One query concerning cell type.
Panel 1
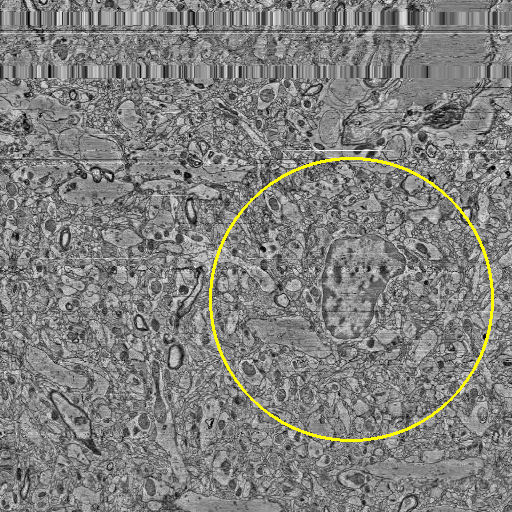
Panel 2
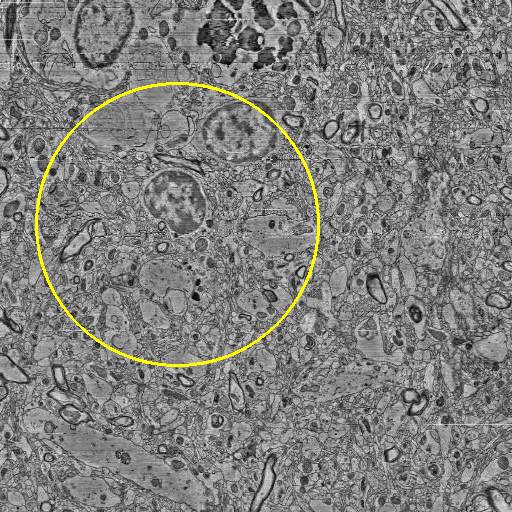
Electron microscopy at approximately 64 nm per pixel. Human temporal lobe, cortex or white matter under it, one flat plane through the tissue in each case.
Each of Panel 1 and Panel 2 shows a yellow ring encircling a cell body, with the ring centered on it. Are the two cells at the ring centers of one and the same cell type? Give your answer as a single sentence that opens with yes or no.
Yes, the cell centered in Panel 1 and the one in Panel 2 share a type.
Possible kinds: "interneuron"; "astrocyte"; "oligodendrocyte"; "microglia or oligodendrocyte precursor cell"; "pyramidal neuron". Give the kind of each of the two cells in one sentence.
Each of the two cells is a microglial cell or oligodendrocyte precursor cell.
